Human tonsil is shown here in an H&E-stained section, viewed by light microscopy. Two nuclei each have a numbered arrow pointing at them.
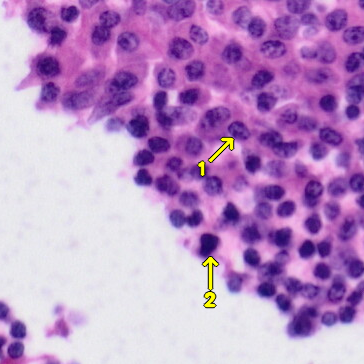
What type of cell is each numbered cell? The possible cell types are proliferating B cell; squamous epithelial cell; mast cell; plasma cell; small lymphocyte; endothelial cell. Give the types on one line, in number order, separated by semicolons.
plasma cell; proliferating B cell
